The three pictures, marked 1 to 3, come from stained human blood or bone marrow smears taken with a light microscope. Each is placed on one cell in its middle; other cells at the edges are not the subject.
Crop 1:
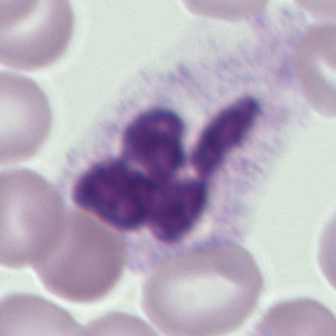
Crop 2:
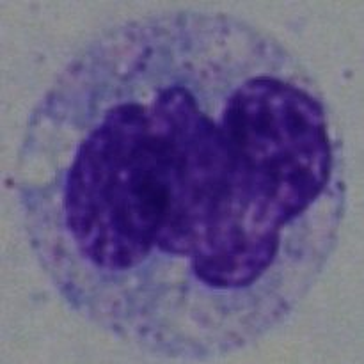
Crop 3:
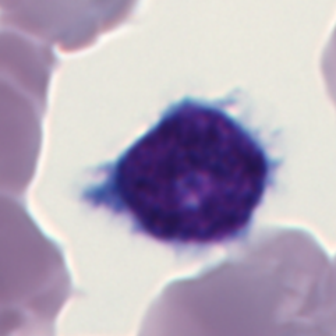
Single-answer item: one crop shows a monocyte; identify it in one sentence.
The one crop in the set with a monocyte is crop 2.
